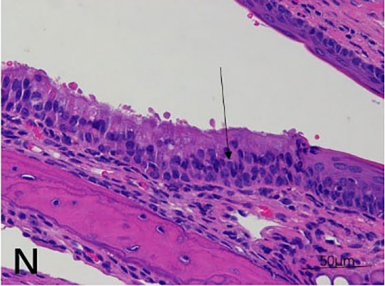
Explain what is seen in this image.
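This is nasal mucosa, lined by a pseudostratified columnar epithelium with stacked, elongated purple nuclei and a fringed luminal surface. Under it lies a thin connective tissue layer with a small vessel. Beneath that lies a broad, pink plate of bone containing scattered cells.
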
